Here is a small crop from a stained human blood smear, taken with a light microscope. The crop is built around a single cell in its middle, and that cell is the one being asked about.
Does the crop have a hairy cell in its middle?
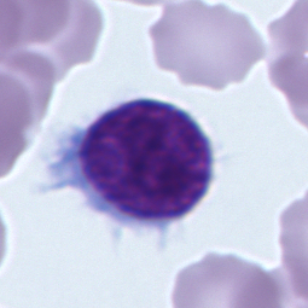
yes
